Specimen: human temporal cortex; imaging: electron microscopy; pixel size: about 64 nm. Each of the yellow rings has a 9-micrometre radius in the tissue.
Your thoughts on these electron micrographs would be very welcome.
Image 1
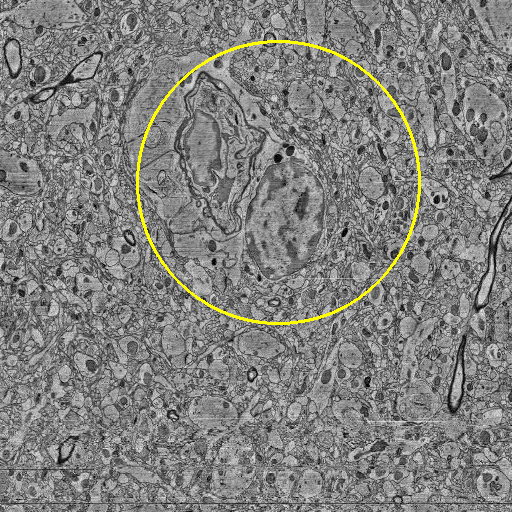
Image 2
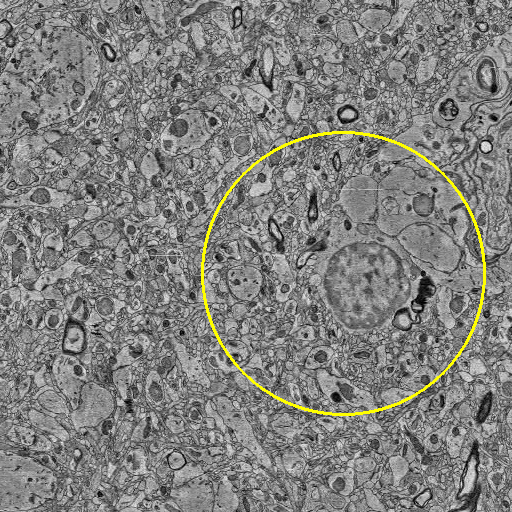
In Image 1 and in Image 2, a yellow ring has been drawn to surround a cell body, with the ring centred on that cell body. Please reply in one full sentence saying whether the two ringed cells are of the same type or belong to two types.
The ringed cells in Image 1 and Image 2 belong to two types.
